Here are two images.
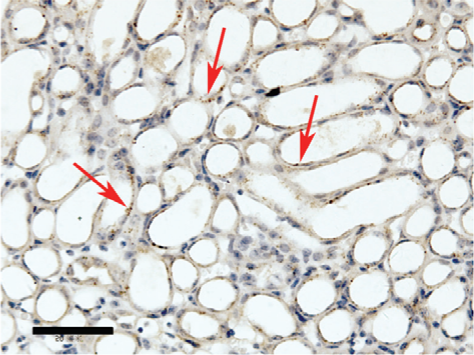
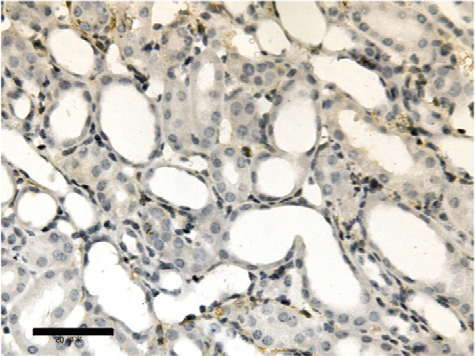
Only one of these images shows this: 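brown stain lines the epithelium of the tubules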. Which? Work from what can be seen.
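First image: a faint brown rim follows the thin epithelium around many dilated tubules.
Hence: the first image.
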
